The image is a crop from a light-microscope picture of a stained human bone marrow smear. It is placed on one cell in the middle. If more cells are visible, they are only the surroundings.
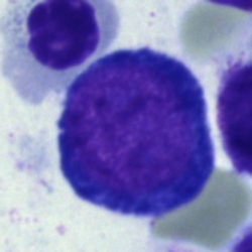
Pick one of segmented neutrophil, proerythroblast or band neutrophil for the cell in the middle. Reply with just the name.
proerythroblast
